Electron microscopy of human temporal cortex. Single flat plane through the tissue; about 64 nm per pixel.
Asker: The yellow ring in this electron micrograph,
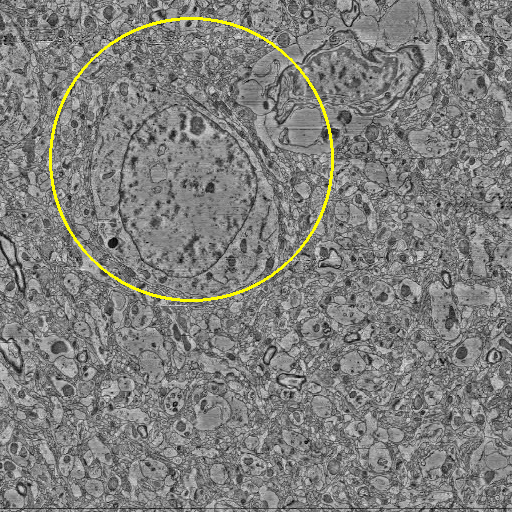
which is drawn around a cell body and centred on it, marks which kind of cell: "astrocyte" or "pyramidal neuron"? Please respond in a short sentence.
The marked cell is a pyramidal neuron.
